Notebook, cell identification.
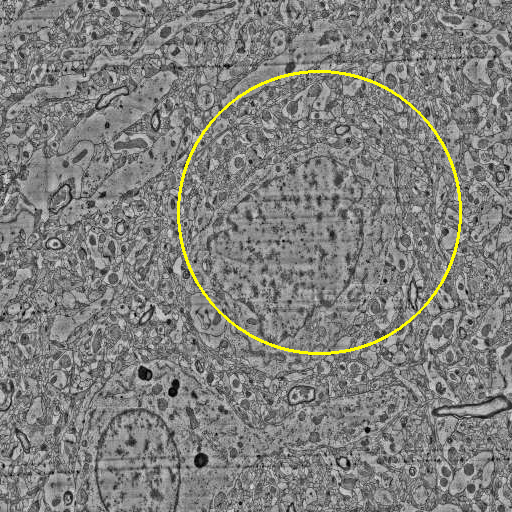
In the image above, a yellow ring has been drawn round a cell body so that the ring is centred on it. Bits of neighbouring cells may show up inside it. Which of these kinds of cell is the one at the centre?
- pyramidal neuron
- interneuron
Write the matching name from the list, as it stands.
interneuron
